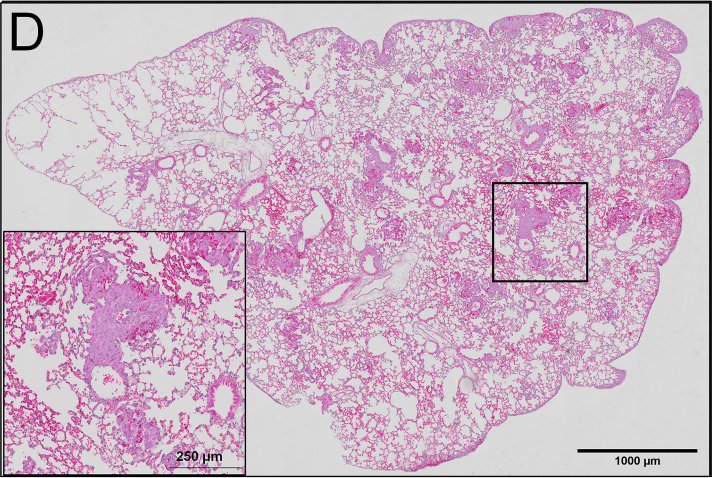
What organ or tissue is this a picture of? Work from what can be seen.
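Lung. Spongy parenchyma of many thin-walled air spaces. Scattered airways and vessels cut in cross-section. Lobed outline of an organ section.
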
